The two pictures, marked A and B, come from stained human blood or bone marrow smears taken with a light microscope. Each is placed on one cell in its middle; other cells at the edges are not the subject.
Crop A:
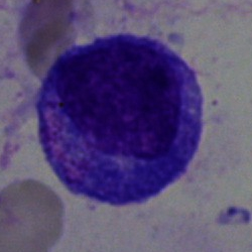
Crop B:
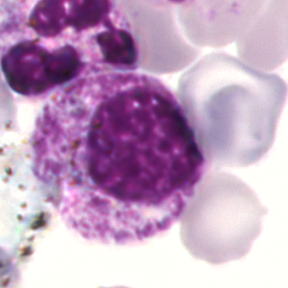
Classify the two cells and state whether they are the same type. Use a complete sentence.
No, crop A is where a promyelocyte is shown, and crop B is where a myelocyte is shown.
